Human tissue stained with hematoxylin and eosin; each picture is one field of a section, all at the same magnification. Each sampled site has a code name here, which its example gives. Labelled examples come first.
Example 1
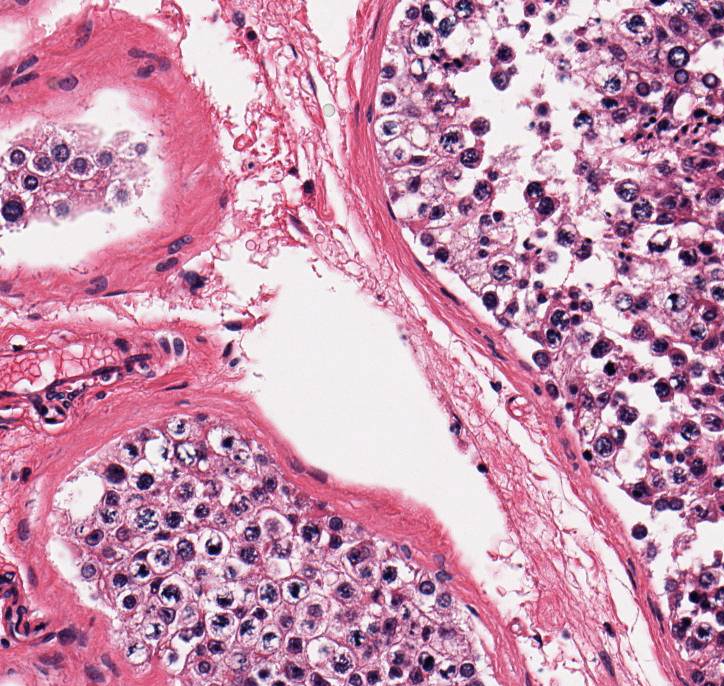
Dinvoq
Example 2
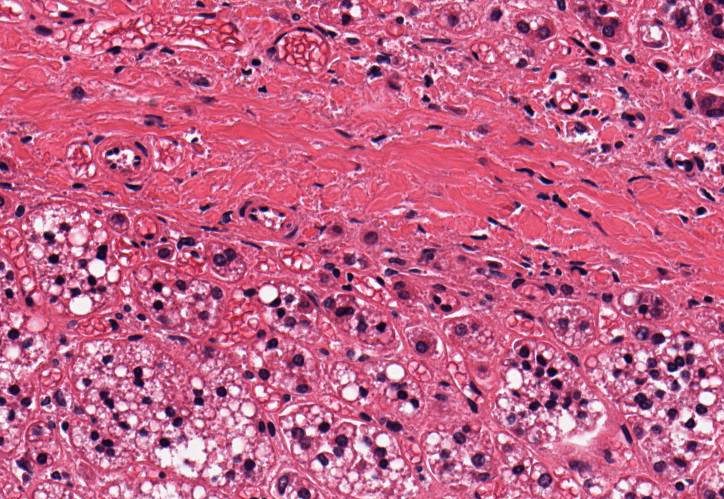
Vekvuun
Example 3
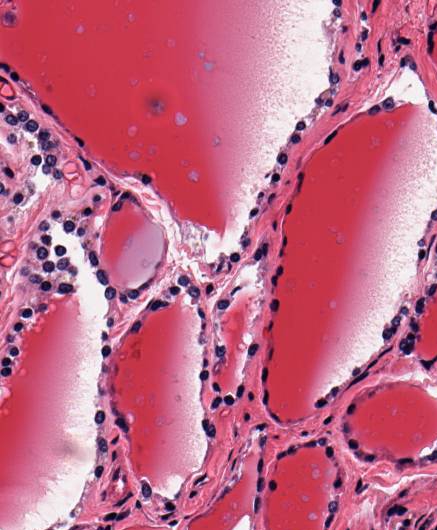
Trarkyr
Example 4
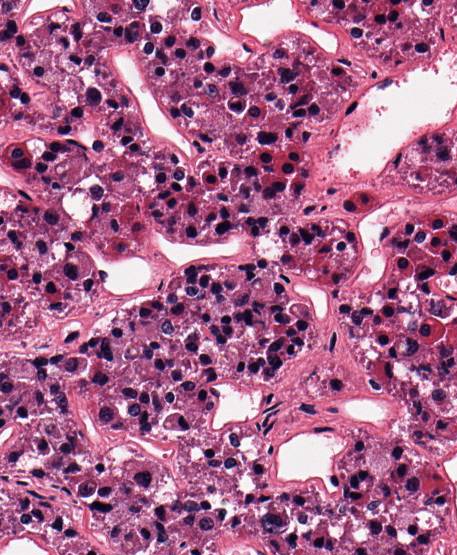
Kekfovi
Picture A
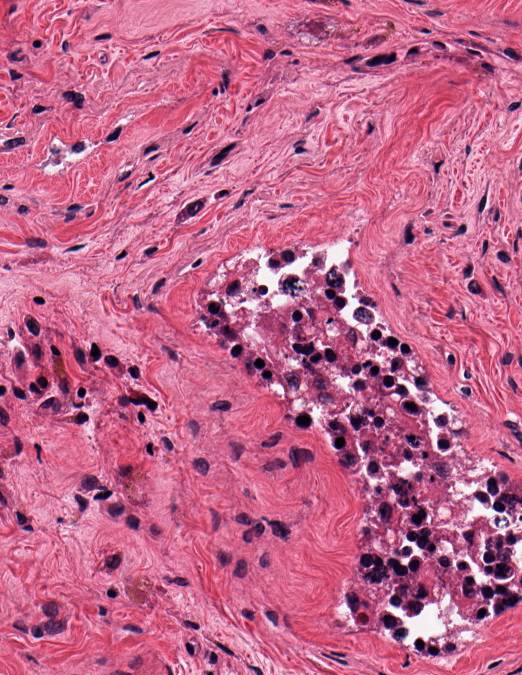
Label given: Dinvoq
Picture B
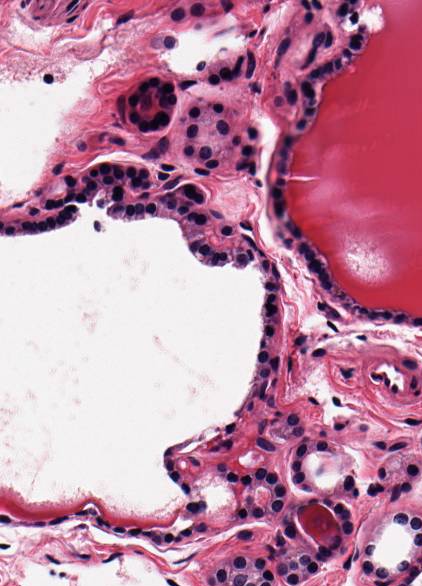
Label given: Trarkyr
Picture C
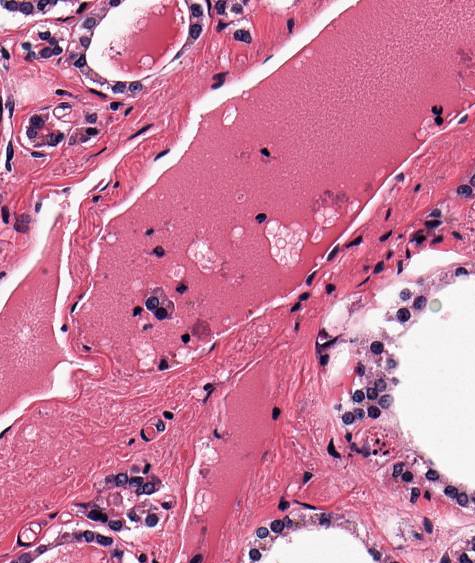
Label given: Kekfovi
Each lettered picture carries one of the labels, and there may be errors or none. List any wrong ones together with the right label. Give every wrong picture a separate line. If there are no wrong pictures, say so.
Wrong: C (Kekfovi); correct: Trarkyr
